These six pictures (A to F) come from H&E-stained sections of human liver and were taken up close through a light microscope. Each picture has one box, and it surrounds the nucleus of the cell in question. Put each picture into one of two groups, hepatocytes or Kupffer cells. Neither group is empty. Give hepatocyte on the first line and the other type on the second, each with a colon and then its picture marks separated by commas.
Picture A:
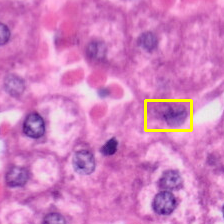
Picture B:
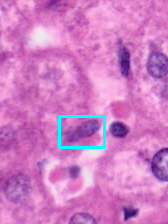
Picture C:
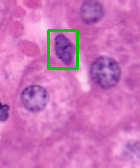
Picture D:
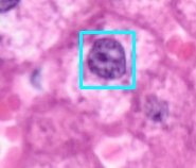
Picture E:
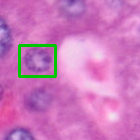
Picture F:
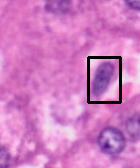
hepatocyte: D, E
Kupffer cell: A, B, C, F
